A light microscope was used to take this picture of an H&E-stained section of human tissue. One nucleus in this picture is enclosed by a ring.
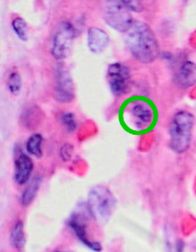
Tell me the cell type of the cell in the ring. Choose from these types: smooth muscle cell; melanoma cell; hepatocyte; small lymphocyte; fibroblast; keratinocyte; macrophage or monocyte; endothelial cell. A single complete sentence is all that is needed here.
It is an endothelial cell that the cell in the ring represents.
